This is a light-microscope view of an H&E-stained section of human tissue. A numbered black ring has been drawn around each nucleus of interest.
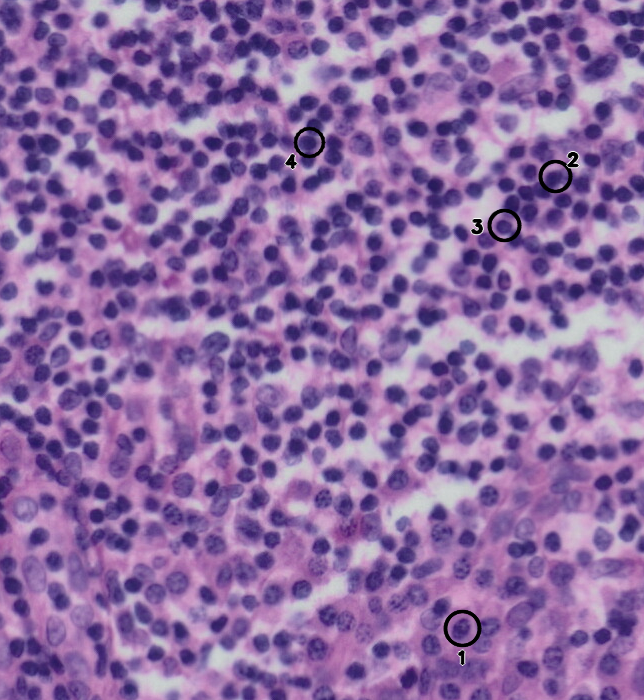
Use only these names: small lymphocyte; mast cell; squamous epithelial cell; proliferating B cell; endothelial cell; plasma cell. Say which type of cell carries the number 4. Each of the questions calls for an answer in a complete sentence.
The one labeled 4 is a small lymphocyte, to put it simply.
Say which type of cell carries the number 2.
The cell with the number 2 is a small lymphocyte.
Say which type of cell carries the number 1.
The cell that carries the label 1 is a plasma cell.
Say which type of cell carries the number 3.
Among the marked cells, number 3 is a small lymphocyte.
